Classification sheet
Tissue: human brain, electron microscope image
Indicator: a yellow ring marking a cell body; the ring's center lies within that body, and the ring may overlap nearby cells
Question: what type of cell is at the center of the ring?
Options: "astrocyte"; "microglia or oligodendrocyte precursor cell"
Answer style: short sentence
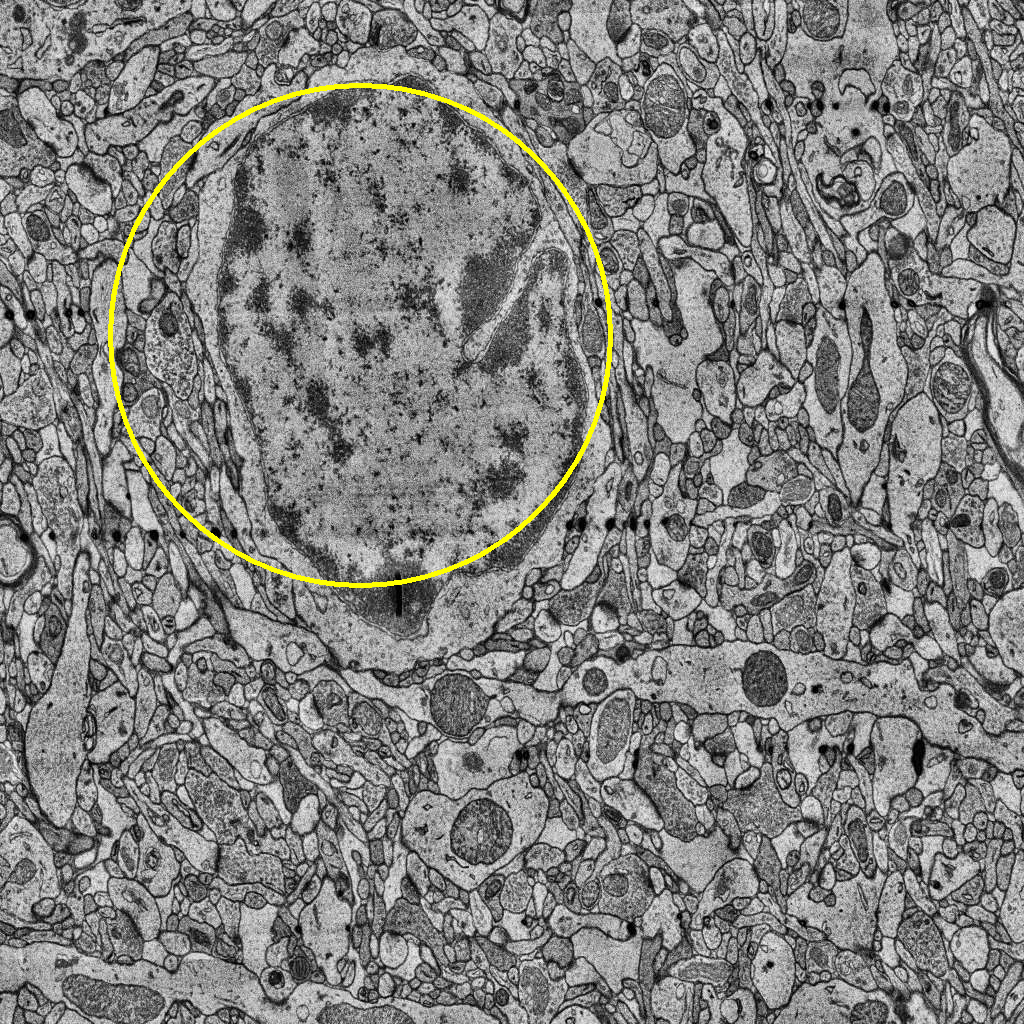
At the ring's center is a microglial cell or oligodendrocyte precursor cell.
